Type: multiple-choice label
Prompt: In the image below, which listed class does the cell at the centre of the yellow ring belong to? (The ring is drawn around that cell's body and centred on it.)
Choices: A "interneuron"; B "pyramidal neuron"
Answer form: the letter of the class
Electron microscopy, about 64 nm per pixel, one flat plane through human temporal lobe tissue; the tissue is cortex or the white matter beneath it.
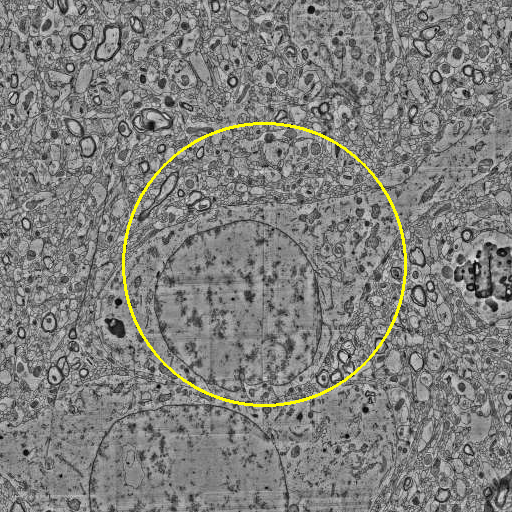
B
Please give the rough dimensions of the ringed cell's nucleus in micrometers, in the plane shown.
About 11 micrometres across in this plane.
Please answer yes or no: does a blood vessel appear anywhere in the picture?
No, there is no blood vessel in the image.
